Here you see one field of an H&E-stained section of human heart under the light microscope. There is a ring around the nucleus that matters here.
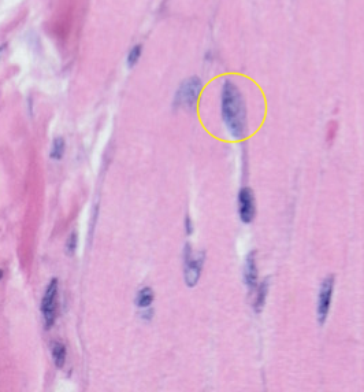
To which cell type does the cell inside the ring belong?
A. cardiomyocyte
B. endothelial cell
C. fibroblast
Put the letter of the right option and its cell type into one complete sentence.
Of the options given, C is right: the cell inside the ring is a fibroblast.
